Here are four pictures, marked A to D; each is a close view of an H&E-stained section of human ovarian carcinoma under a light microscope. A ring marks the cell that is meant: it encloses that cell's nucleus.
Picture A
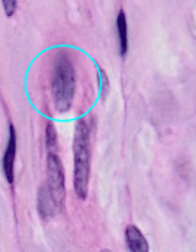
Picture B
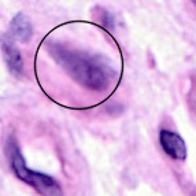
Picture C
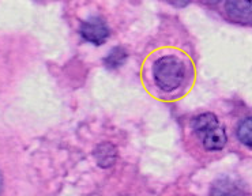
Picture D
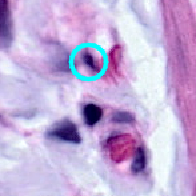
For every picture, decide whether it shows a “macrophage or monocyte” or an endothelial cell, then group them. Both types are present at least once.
A: endothelial cell
B: endothelial cell
C: macrophage or monocyte
D: endothelial cell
